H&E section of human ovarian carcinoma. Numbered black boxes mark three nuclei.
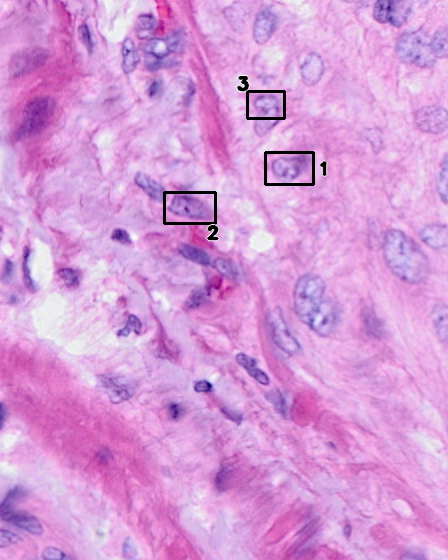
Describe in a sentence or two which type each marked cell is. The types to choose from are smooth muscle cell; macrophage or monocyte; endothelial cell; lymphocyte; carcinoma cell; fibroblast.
Cells 1 and 3 are fibroblasts. Cell 2 is an endothelial cell.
